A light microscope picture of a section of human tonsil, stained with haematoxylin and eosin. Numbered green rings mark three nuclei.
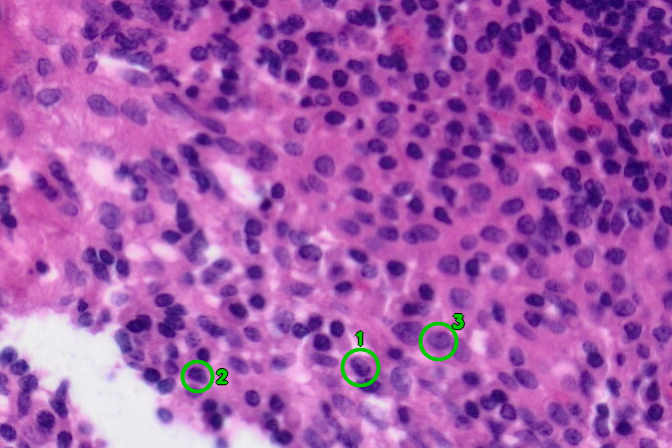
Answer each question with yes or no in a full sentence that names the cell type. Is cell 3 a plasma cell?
No, it is a squamous epithelial cell, rather than a plasma cell, that carries number 3.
